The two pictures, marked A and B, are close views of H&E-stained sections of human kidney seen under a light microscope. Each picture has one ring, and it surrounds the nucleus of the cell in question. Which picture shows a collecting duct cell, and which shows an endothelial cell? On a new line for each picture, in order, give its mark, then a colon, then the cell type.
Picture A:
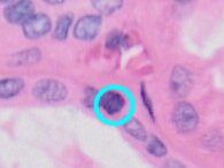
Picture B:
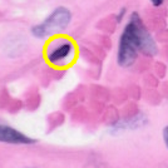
A: collecting duct cell
B: endothelial cell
